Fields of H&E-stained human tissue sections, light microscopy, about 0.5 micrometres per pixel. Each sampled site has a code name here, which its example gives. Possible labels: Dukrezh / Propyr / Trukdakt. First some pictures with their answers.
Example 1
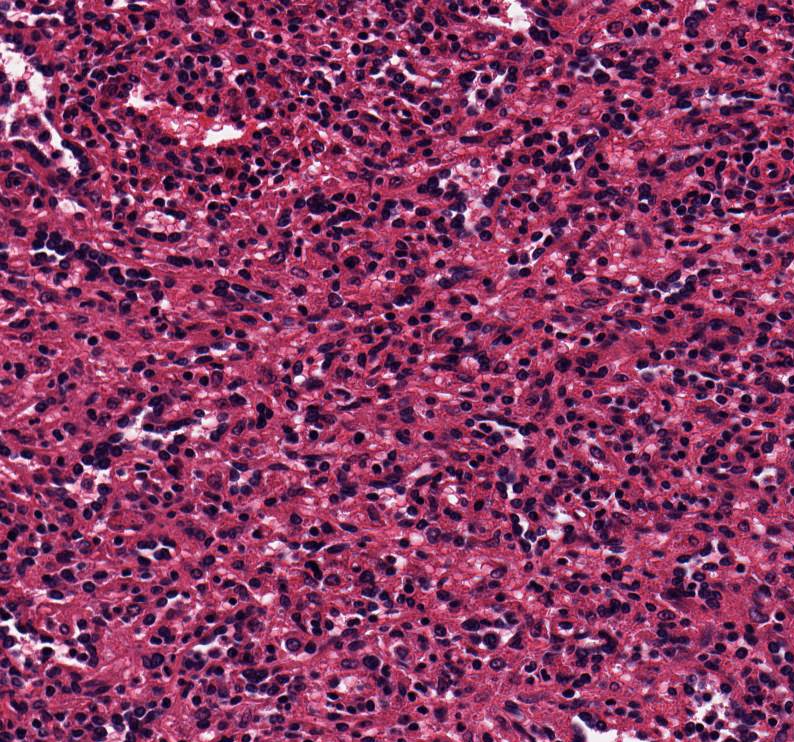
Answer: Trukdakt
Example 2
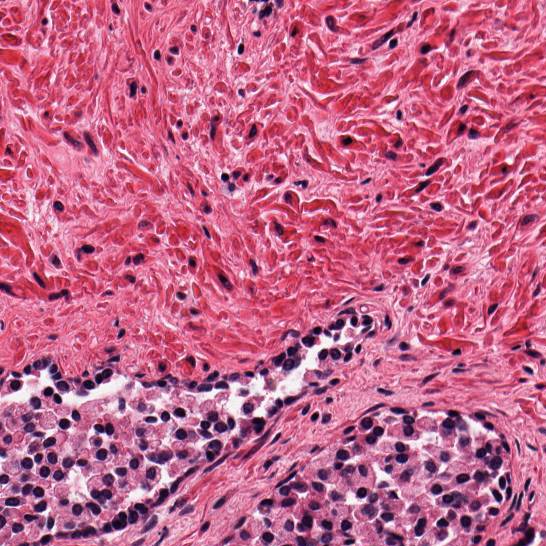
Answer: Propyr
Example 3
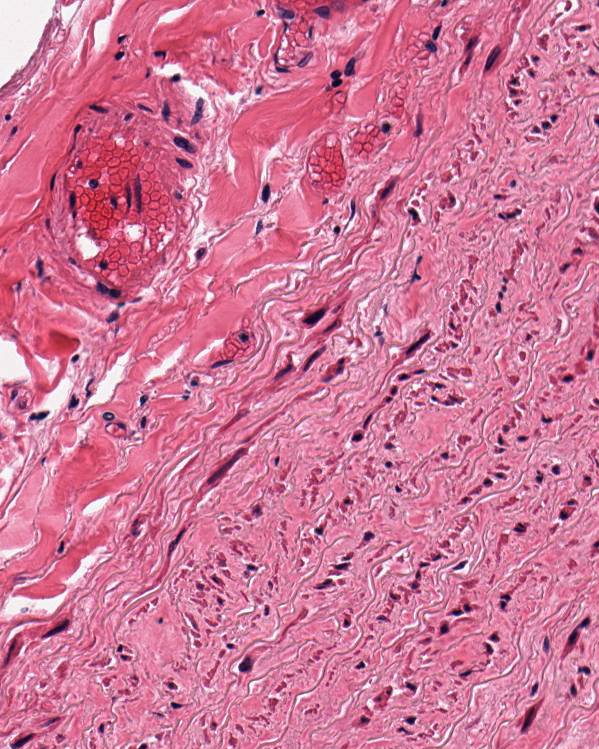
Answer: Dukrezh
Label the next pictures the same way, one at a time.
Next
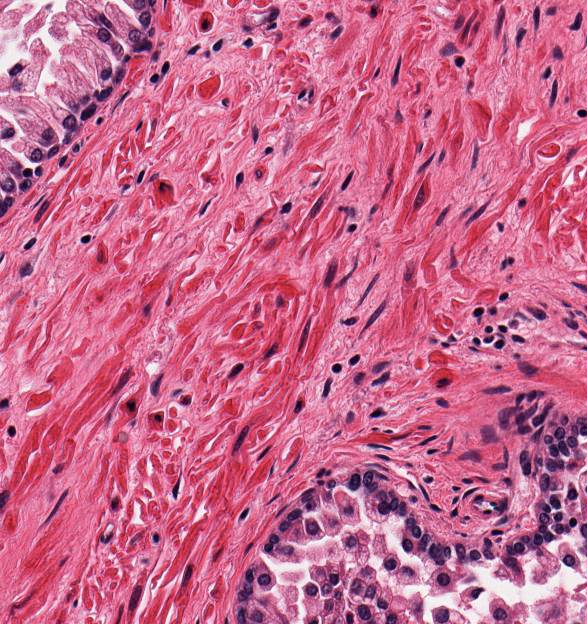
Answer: Propyr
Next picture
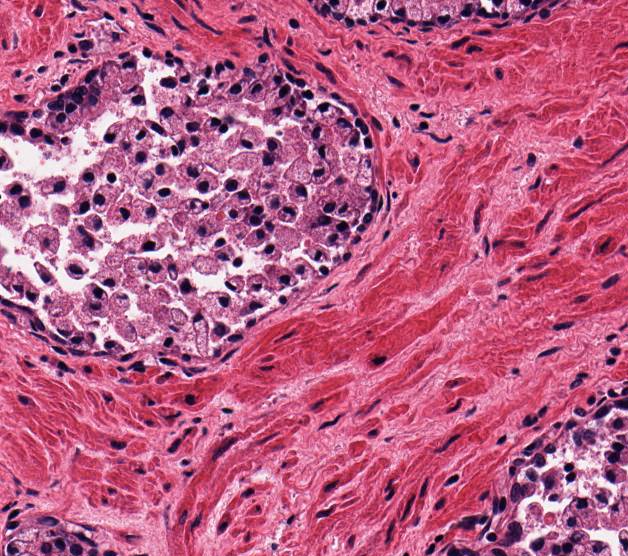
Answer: Propyr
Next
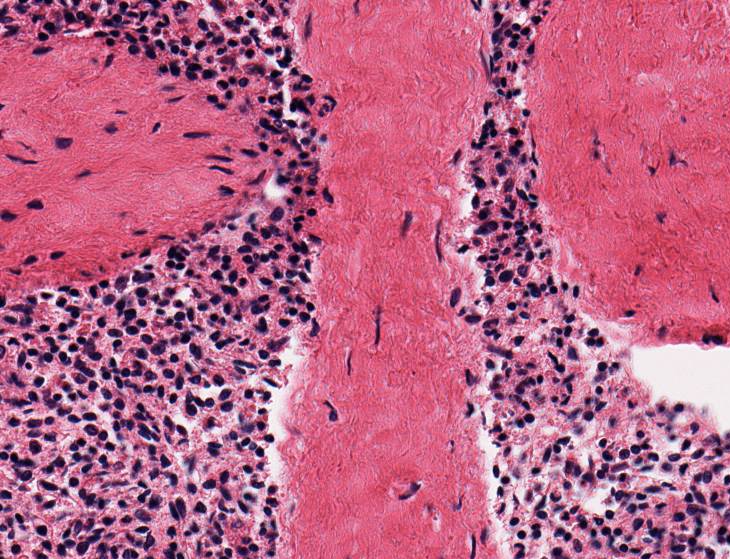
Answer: Trukdakt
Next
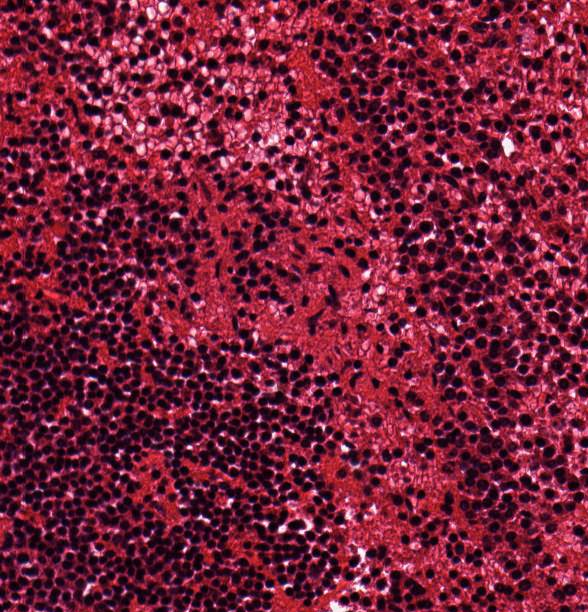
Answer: Trukdakt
